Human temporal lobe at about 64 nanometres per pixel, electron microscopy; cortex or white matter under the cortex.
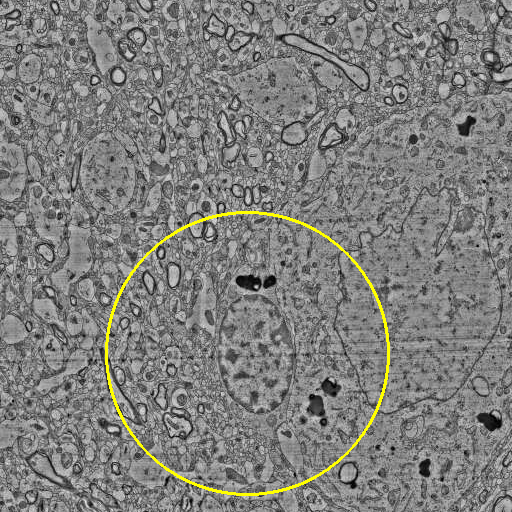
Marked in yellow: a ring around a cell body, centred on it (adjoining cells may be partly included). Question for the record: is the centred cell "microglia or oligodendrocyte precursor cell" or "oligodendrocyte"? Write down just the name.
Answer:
oligodendrocyte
